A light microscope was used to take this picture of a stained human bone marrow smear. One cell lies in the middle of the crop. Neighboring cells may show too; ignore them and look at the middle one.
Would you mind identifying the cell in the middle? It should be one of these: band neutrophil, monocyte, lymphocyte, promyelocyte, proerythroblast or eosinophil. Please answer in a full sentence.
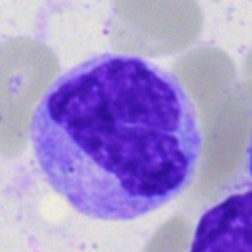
The crop centres on a single cell, and that cell is a monocyte.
